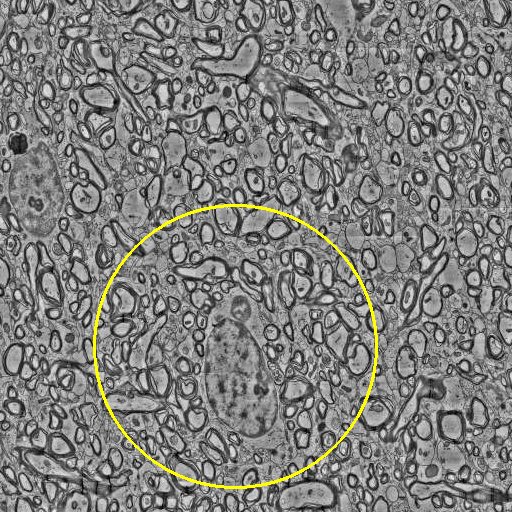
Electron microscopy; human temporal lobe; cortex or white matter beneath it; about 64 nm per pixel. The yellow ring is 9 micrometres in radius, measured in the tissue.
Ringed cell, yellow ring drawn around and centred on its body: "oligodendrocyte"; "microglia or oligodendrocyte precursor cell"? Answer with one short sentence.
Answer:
This ringed cell is a microglial cell or oligodendrocyte precursor cell.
